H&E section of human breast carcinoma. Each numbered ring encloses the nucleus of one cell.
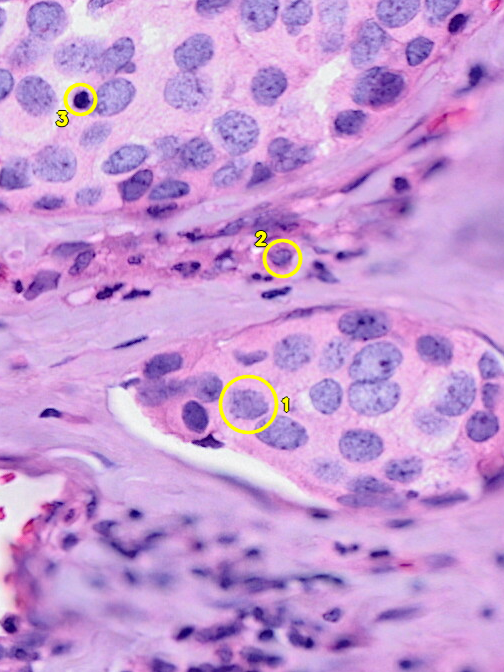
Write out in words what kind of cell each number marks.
Cell 1 is a carcinoma cell, cell 2 is a mast cell and cell 3 is a lymphocyte.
